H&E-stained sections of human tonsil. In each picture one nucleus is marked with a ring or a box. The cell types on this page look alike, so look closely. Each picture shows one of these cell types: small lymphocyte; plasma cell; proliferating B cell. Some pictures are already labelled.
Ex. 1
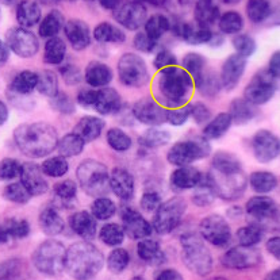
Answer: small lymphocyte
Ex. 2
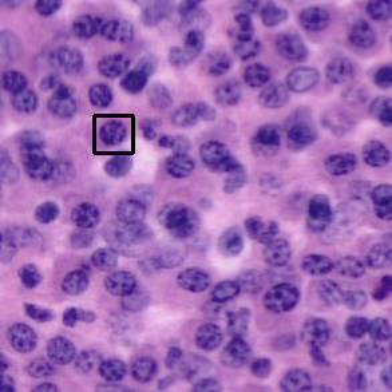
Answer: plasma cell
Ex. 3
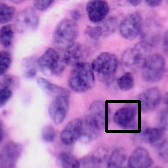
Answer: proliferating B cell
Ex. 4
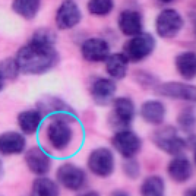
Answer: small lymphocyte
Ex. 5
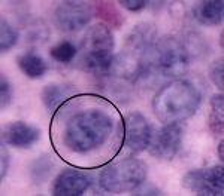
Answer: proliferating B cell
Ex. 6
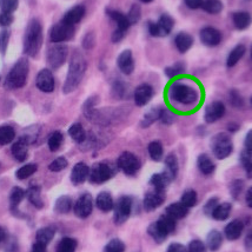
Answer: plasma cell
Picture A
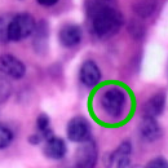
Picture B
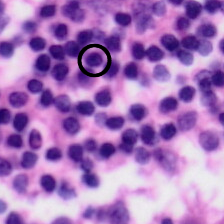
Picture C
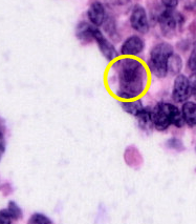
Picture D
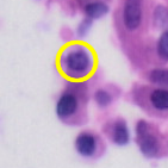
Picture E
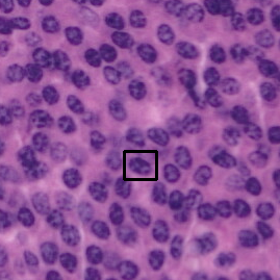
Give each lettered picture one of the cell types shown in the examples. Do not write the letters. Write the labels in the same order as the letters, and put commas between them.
plasma cell, small lymphocyte, proliferating B cell, plasma cell, plasma cell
